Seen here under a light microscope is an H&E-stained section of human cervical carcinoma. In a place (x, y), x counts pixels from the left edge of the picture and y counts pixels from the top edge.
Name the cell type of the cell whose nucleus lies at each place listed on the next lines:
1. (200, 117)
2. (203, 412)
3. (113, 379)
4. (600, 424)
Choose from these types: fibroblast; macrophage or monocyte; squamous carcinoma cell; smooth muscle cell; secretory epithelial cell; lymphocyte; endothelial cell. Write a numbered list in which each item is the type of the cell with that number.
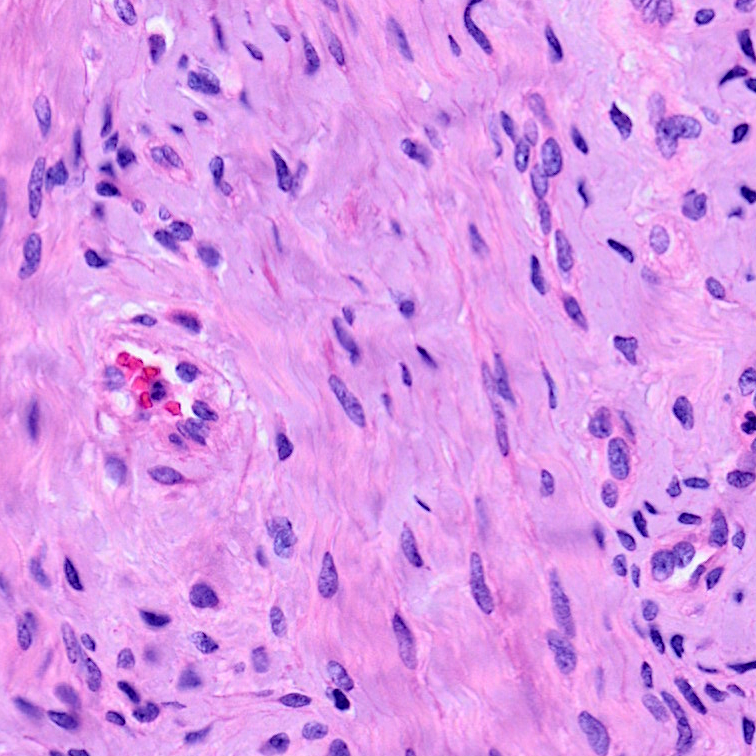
1. fibroblast
2. endothelial cell
3. endothelial cell
4. endothelial cell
